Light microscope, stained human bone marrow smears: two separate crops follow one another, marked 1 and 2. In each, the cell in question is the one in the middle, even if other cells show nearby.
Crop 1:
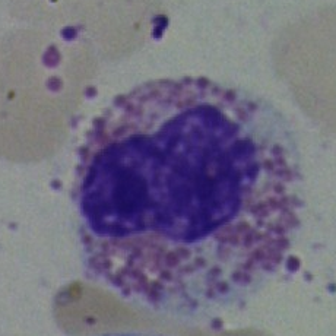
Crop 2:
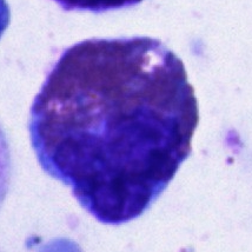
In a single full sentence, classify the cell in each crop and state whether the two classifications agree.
Yes, both crops show eosinophils, and the two match.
